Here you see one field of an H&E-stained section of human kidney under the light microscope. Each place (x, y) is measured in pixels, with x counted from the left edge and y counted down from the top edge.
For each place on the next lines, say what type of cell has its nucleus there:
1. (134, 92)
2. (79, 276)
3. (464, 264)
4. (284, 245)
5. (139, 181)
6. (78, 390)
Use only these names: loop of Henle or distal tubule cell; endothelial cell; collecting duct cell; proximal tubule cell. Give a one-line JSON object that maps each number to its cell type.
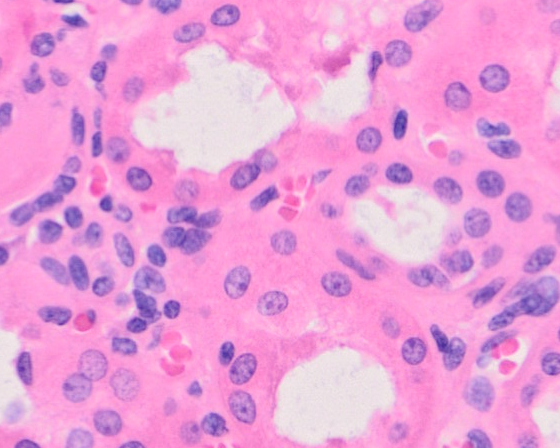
{"1": "proximal tubule cell", "2": "collecting duct cell", "3": "collecting duct cell", "4": "proximal tubule cell", "5": "proximal tubule cell", "6": "proximal tubule cell"}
